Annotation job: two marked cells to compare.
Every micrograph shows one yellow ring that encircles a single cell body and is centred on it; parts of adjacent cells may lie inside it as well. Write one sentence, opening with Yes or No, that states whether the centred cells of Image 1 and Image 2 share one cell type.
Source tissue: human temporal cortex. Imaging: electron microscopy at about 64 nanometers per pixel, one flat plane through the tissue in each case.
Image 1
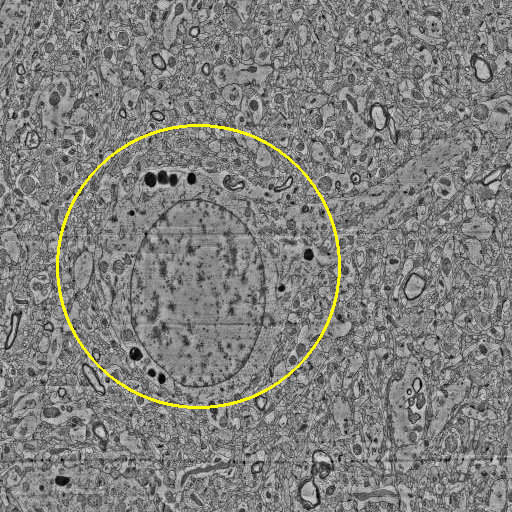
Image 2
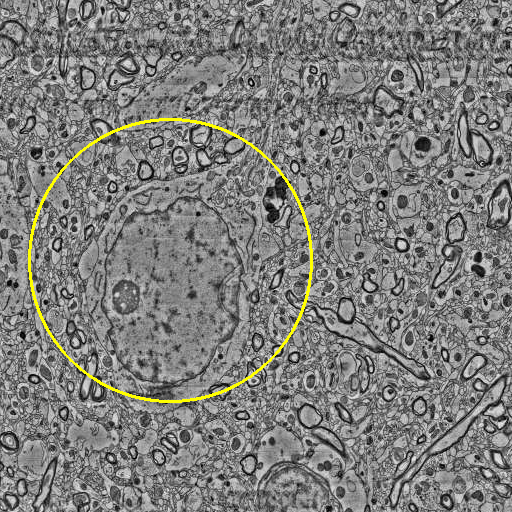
No, the cell centred in Image 1 and the cell centred in Image 2 are of two types.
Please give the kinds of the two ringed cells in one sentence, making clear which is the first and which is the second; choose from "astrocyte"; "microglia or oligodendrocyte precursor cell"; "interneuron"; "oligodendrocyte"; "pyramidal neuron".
In the second picture the ringed cell is an interneuron; in the first it is a pyramidal neuron.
